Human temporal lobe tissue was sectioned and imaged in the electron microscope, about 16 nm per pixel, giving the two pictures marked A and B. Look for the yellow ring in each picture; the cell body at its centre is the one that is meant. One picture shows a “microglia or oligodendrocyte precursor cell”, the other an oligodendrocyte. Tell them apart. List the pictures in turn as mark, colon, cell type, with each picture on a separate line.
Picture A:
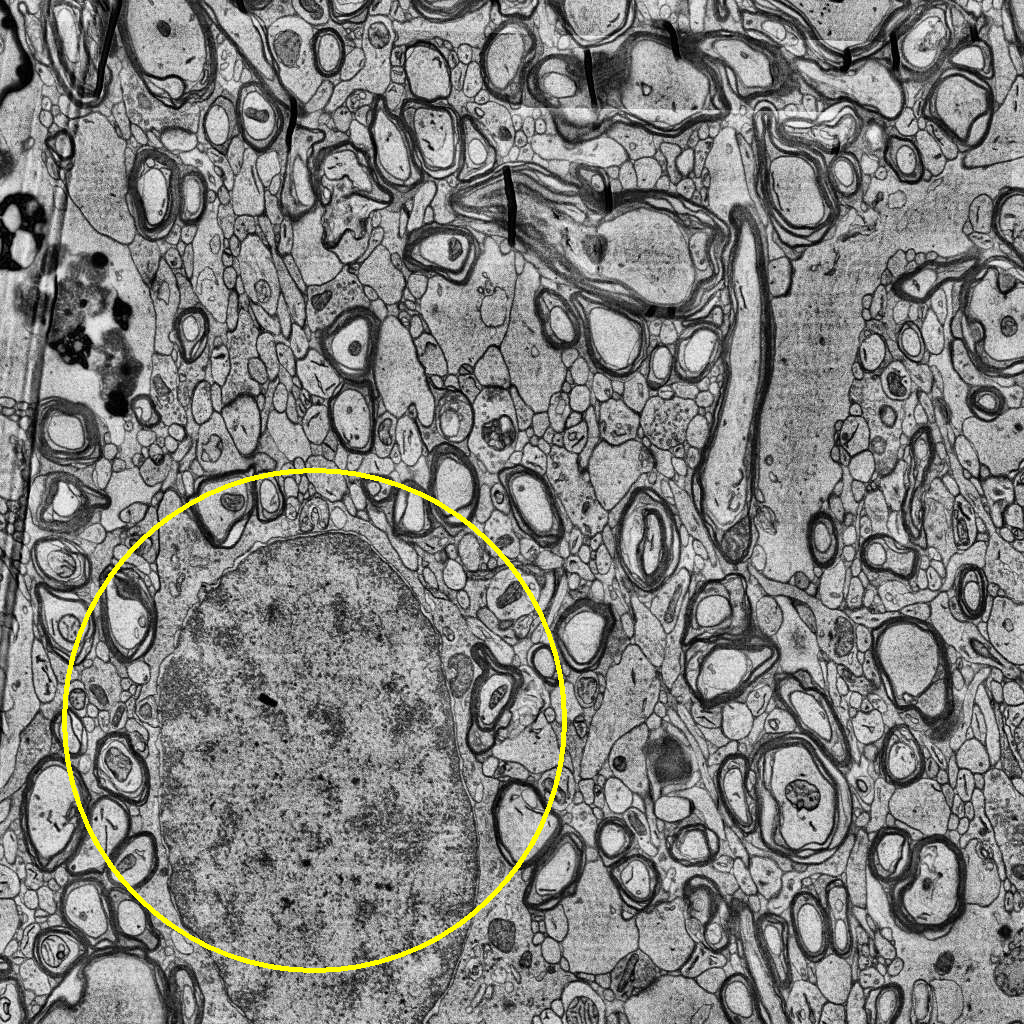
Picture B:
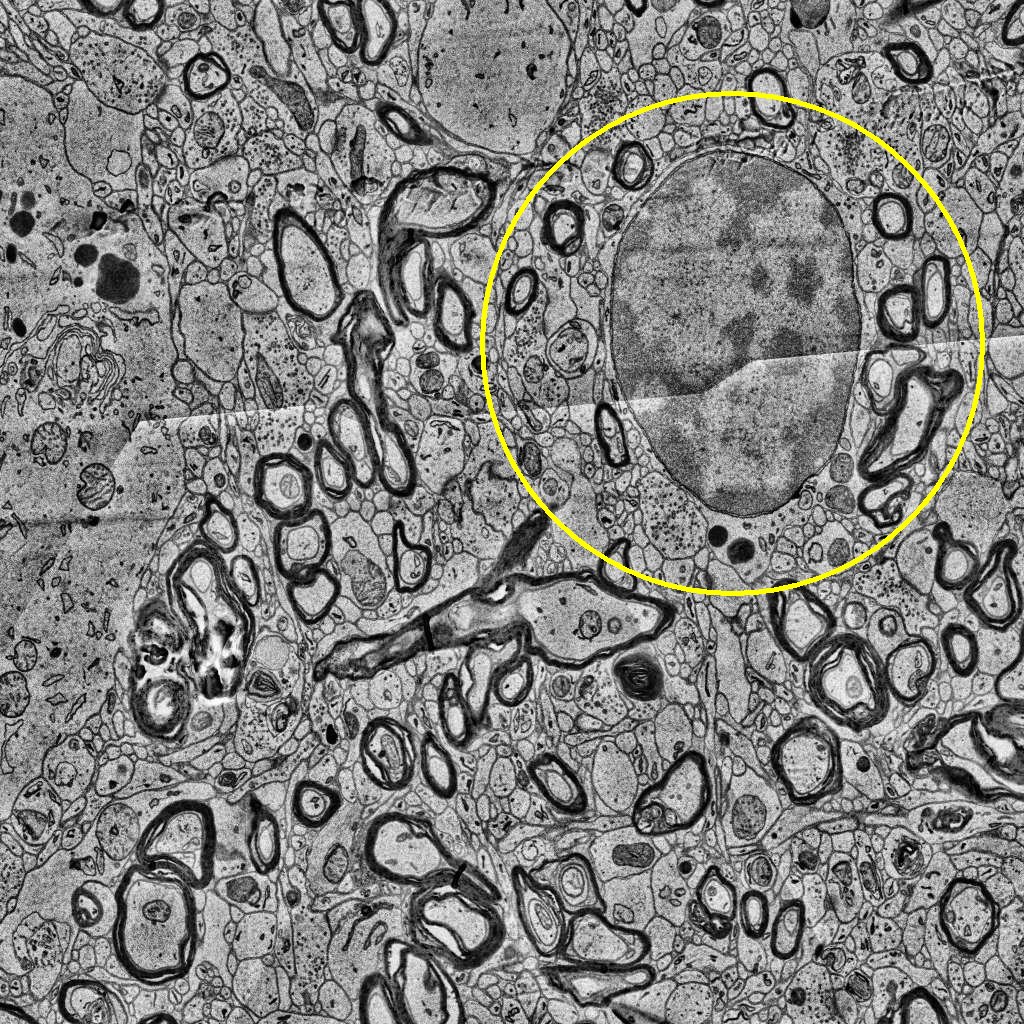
A: oligodendrocyte
B: microglia or oligodendrocyte precursor cell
